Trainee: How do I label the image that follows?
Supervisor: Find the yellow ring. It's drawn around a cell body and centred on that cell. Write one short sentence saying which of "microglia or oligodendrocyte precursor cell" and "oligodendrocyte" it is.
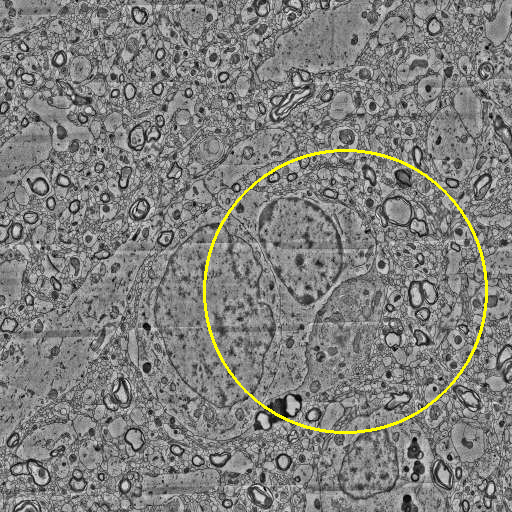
This is the cell body of an oligodendrocyte.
